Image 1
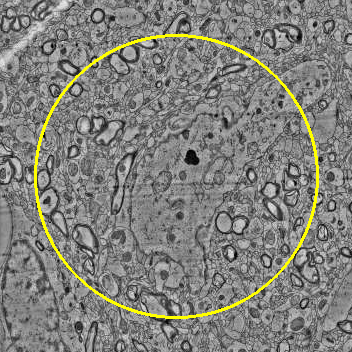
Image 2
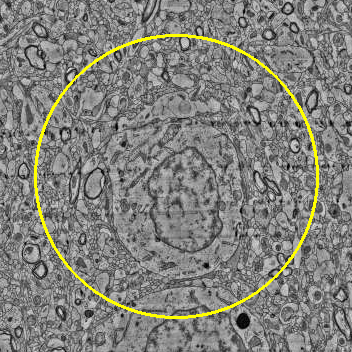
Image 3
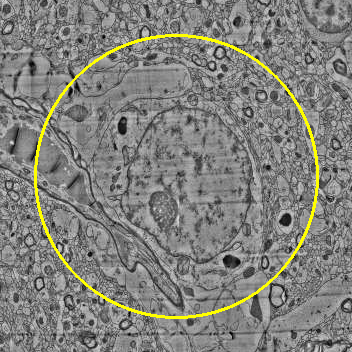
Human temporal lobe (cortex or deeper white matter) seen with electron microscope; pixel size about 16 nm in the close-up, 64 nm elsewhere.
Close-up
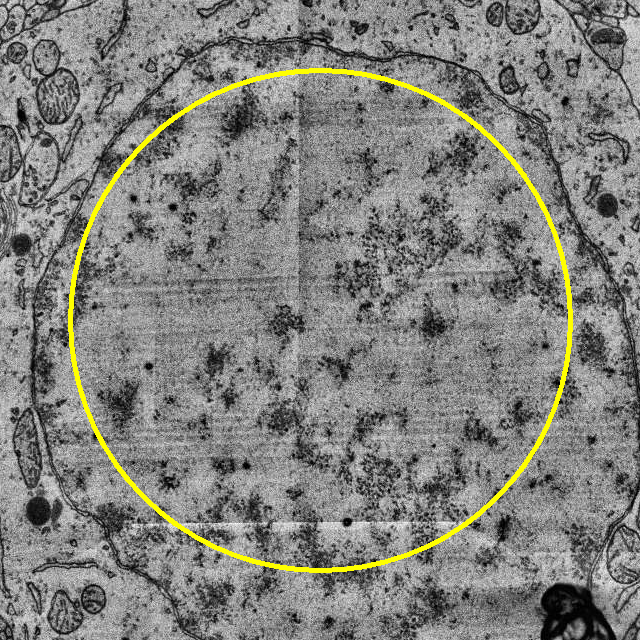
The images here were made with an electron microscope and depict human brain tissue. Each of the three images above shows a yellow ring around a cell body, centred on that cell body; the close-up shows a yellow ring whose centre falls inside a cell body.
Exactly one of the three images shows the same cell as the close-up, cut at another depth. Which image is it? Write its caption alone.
Image 2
